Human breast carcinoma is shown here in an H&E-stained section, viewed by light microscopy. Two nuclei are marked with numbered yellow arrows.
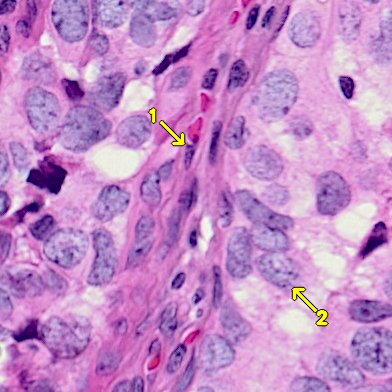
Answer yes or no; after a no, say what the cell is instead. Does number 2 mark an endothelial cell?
No, it is a carcinoma cell.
